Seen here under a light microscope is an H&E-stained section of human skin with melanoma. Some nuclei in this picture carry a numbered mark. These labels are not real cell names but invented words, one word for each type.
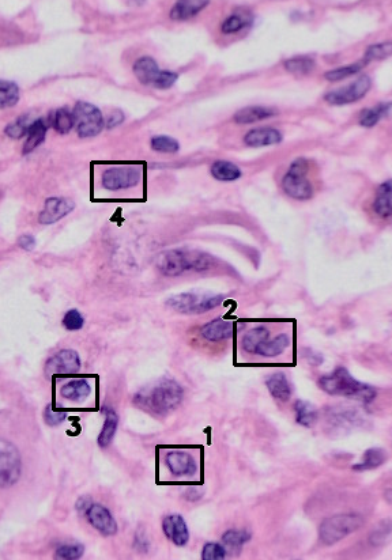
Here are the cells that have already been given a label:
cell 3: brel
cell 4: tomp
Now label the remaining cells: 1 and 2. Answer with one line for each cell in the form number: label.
1: tomp
2: tomp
